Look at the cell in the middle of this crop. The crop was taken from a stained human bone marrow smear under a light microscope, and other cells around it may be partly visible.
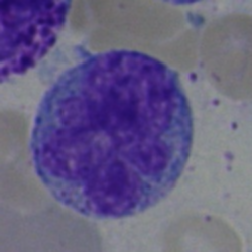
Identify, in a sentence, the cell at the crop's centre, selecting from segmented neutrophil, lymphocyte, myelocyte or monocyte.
This particular crop is centered on a monocyte.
